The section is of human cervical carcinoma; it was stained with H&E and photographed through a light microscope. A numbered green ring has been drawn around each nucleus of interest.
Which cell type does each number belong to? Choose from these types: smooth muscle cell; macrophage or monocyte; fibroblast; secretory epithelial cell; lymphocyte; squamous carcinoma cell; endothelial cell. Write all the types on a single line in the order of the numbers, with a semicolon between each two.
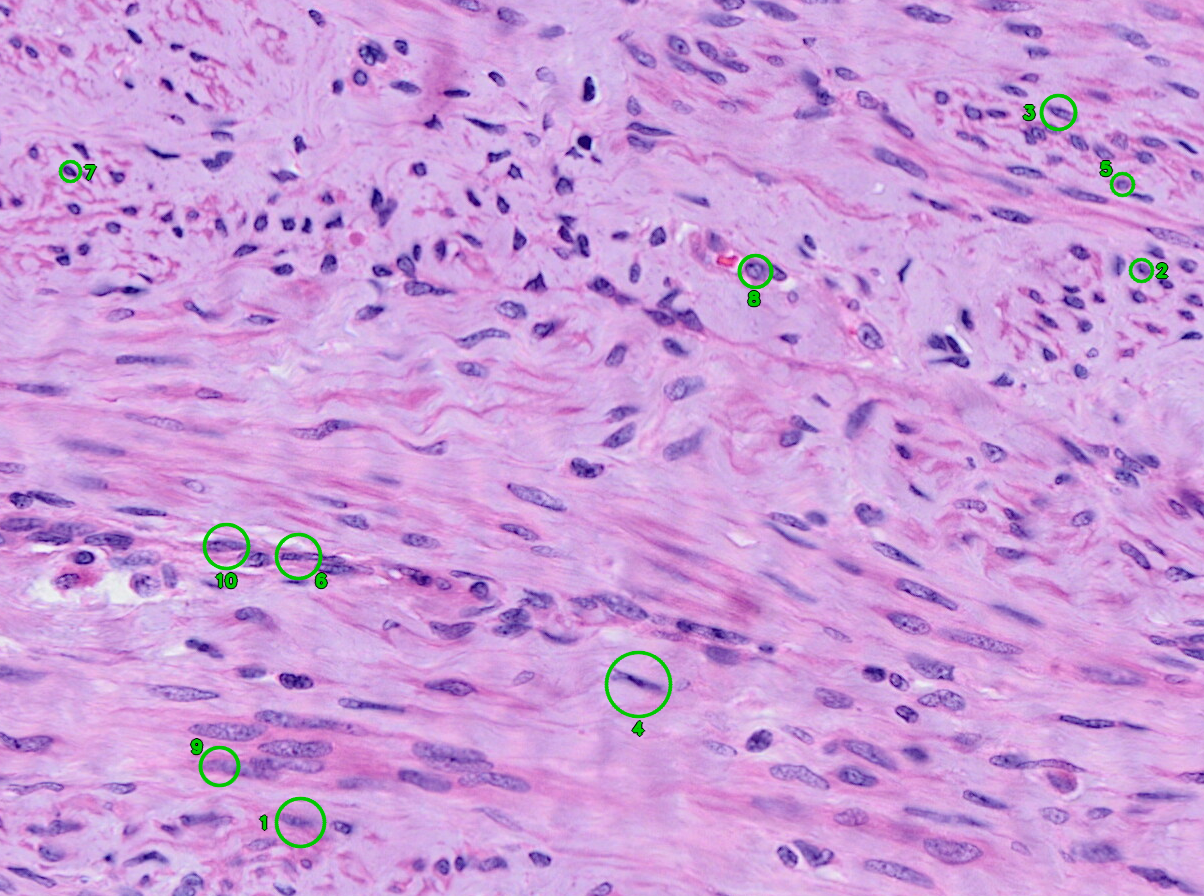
smooth muscle cell; smooth muscle cell; smooth muscle cell; fibroblast; smooth muscle cell; endothelial cell; smooth muscle cell; endothelial cell; smooth muscle cell; endothelial cell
